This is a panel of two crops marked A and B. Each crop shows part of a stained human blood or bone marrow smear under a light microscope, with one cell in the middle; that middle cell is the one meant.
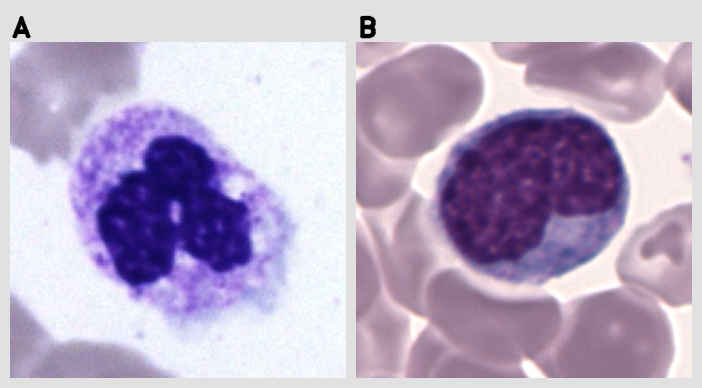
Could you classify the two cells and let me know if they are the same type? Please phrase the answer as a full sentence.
No, a segmented neutrophil is in crop A, while a monocyte is in crop B.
